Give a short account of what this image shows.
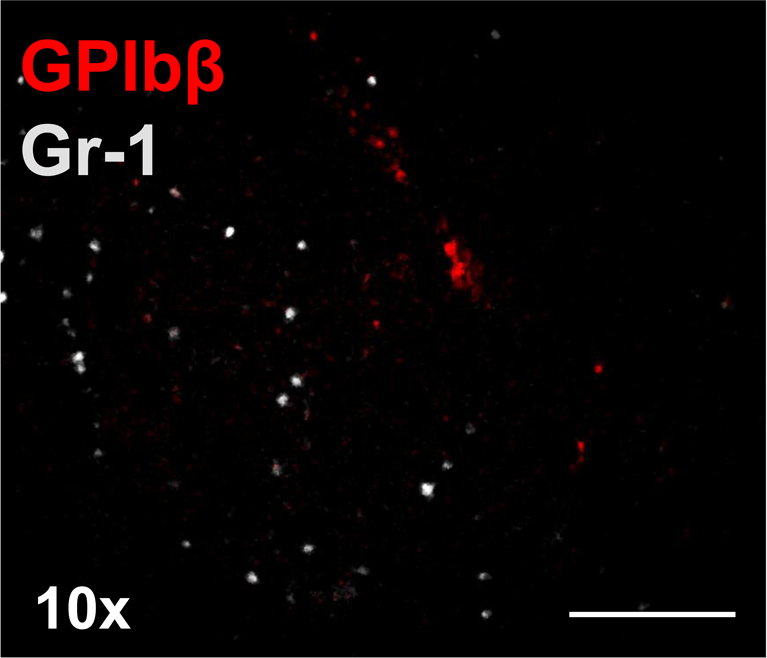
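Platelets form a few small red patches, the most prominent one in the upper middle of the field. The red and white signals are mostly separate rather than clustered together. No tissue architecture beyond the scattered cells is resolved at this magnification.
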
